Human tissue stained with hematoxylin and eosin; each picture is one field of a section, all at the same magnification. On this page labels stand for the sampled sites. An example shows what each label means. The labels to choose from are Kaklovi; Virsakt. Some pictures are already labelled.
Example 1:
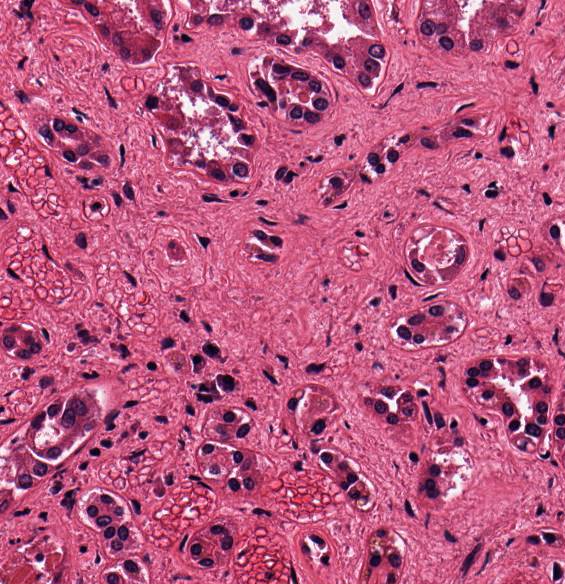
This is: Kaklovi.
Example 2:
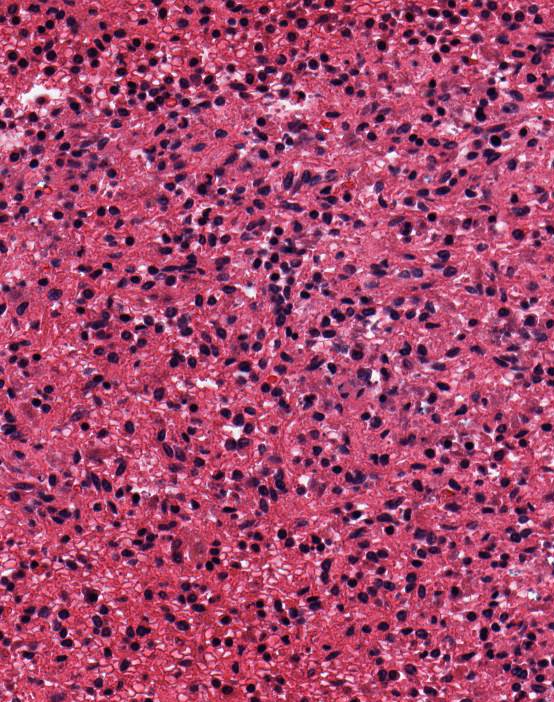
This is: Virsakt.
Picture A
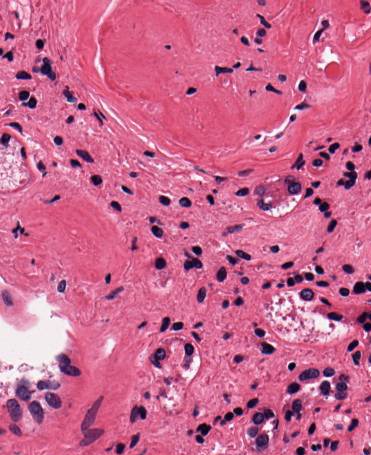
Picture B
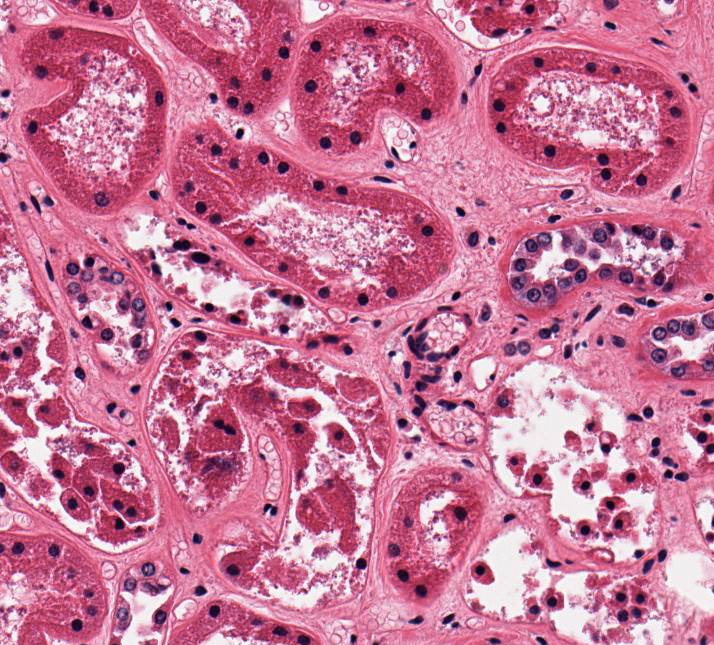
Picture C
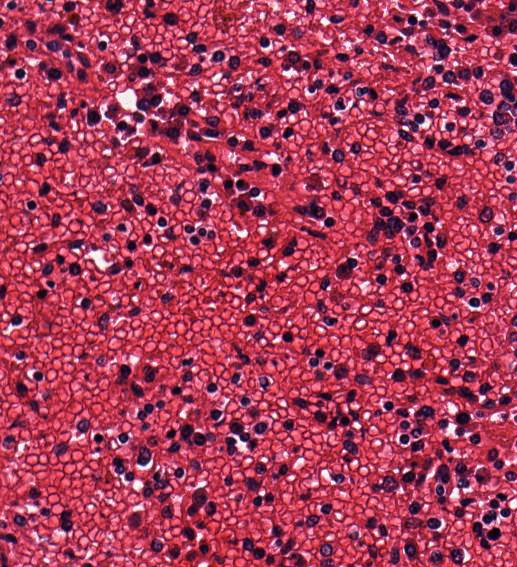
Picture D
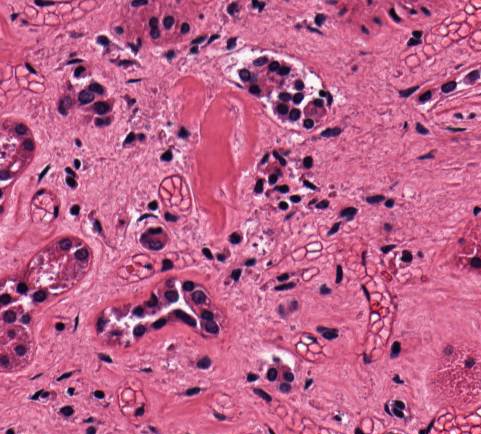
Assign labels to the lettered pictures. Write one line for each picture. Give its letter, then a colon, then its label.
A: Kaklovi.
B: Kaklovi.
C: Virsakt.
D: Kaklovi.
